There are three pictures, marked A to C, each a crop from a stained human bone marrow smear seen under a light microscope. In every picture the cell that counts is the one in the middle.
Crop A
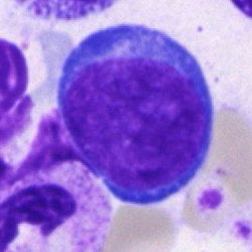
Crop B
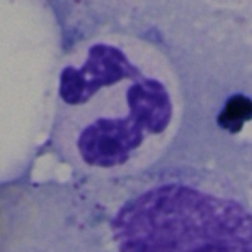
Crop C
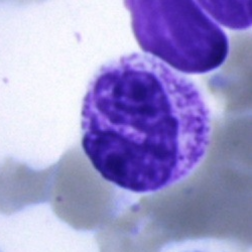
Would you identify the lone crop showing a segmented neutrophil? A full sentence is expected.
The one crop in the set with a segmented neutrophil is crop B.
